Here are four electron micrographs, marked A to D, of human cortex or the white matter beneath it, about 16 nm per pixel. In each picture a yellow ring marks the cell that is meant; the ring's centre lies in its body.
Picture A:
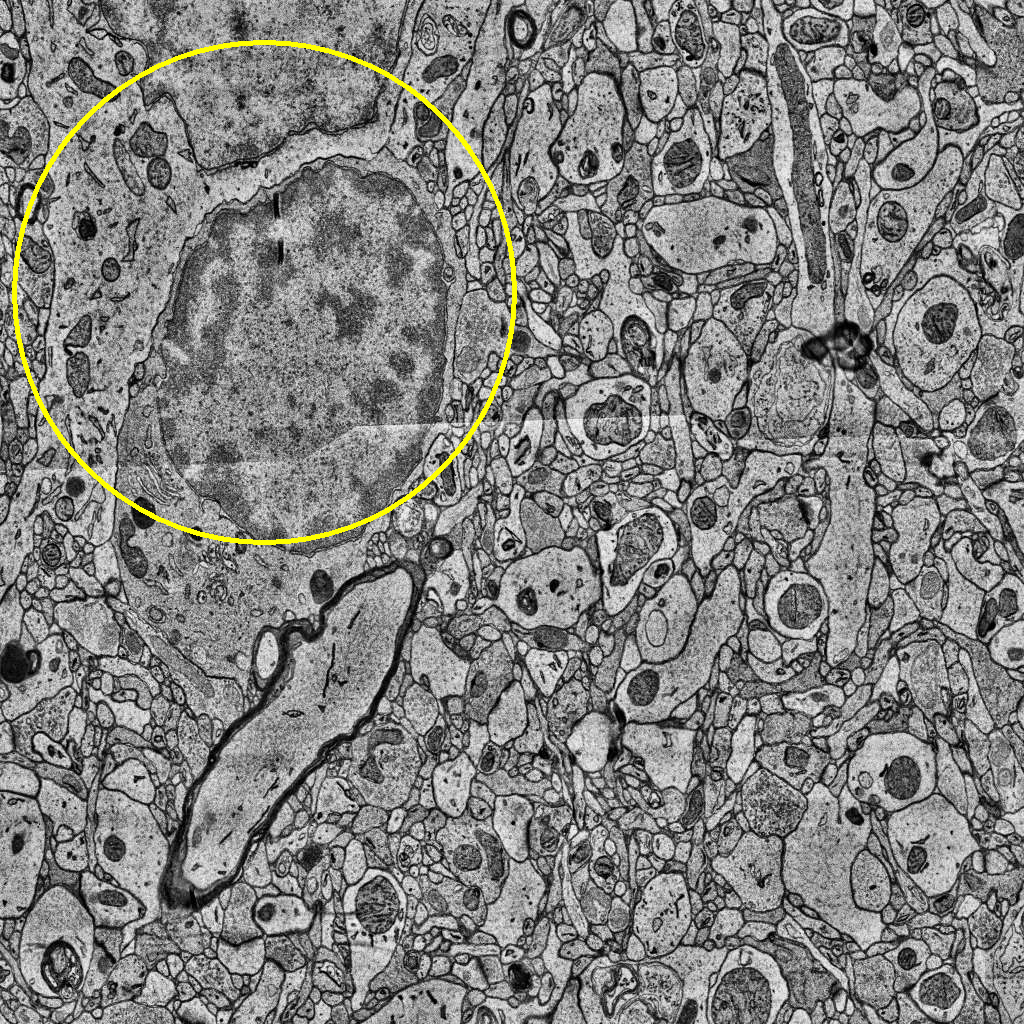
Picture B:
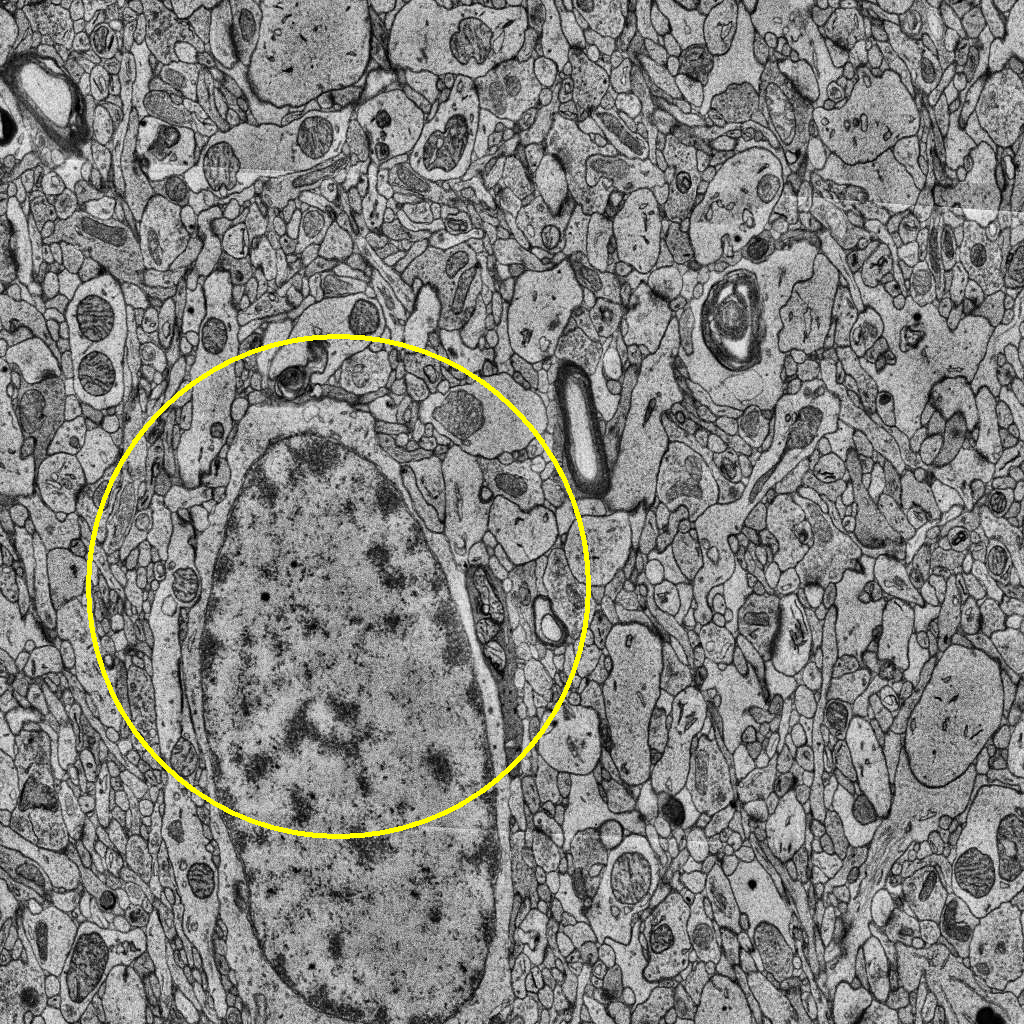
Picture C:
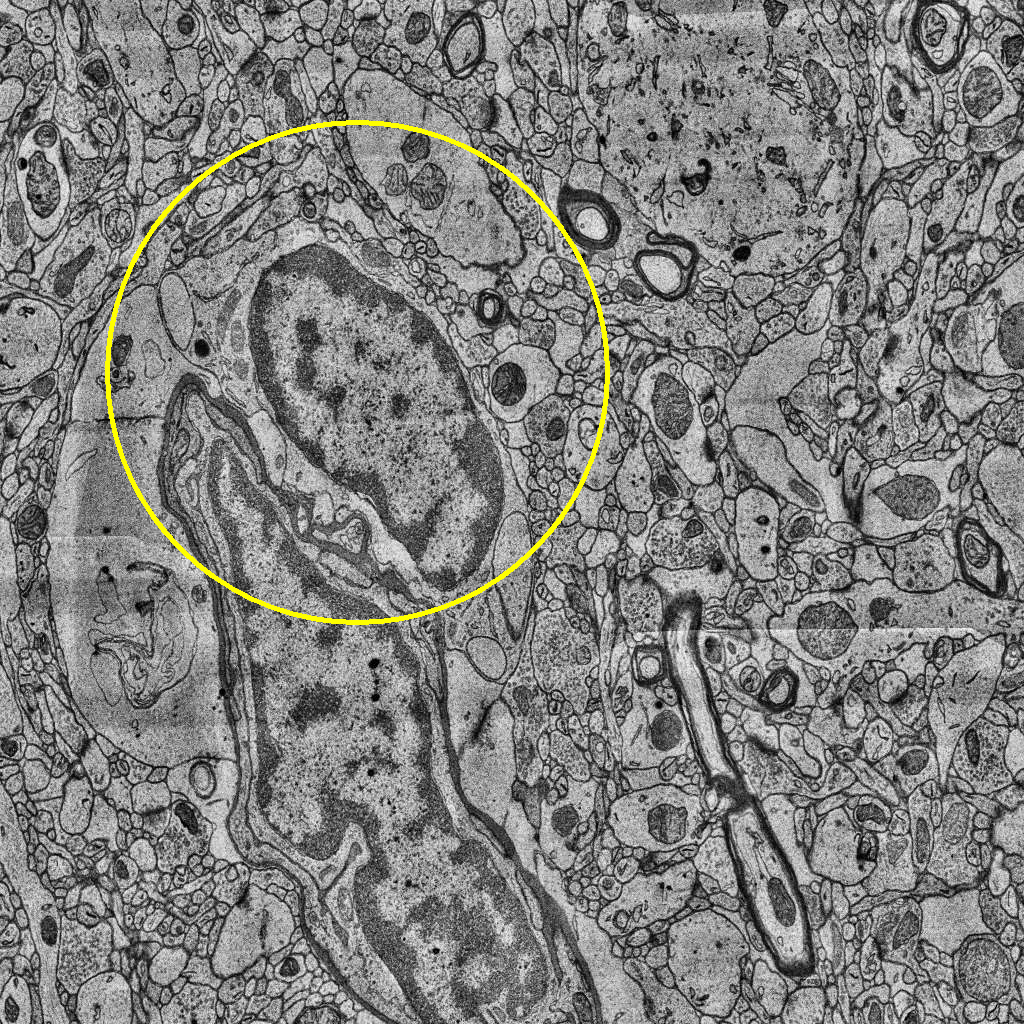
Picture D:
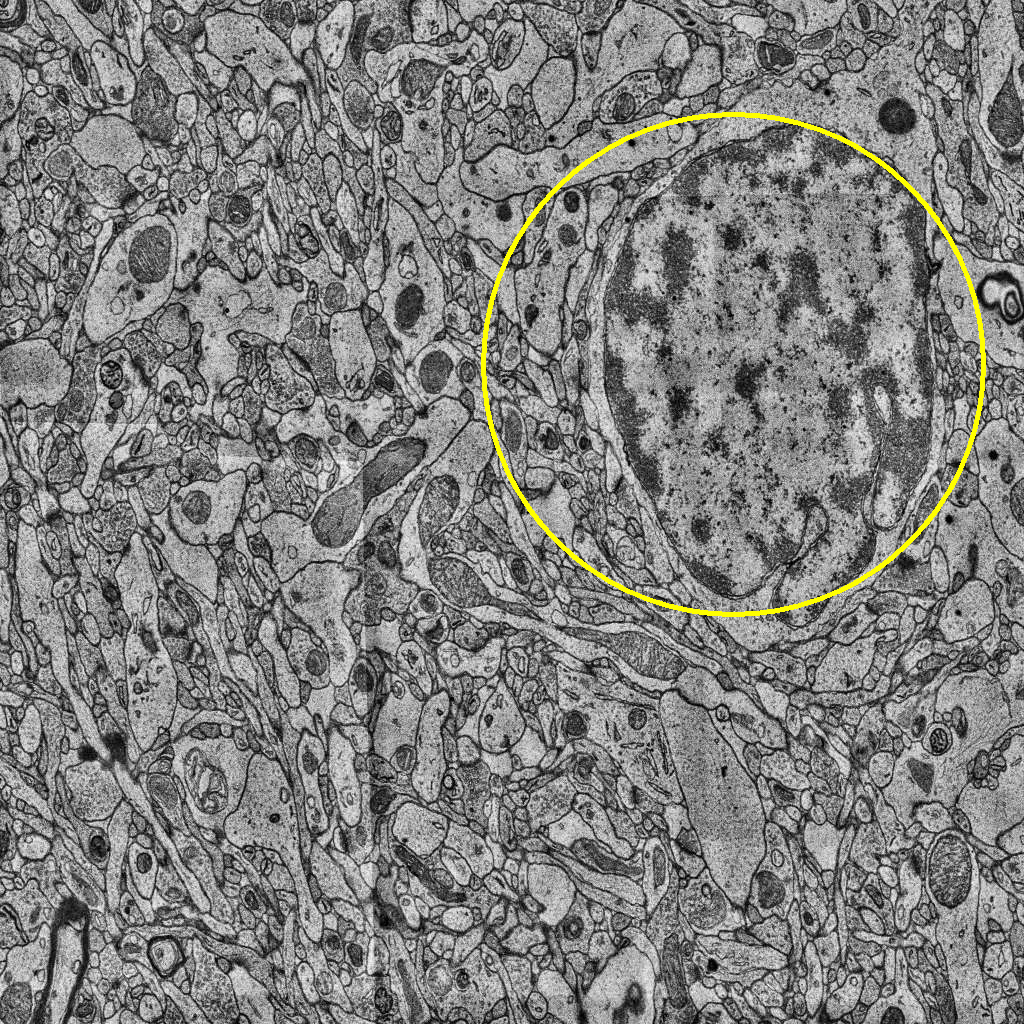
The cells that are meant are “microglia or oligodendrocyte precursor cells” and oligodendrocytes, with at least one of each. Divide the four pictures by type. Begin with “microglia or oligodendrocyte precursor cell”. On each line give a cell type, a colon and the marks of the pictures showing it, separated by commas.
microglia or oligodendrocyte precursor cell: B, C, D
oligodendrocyte: A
